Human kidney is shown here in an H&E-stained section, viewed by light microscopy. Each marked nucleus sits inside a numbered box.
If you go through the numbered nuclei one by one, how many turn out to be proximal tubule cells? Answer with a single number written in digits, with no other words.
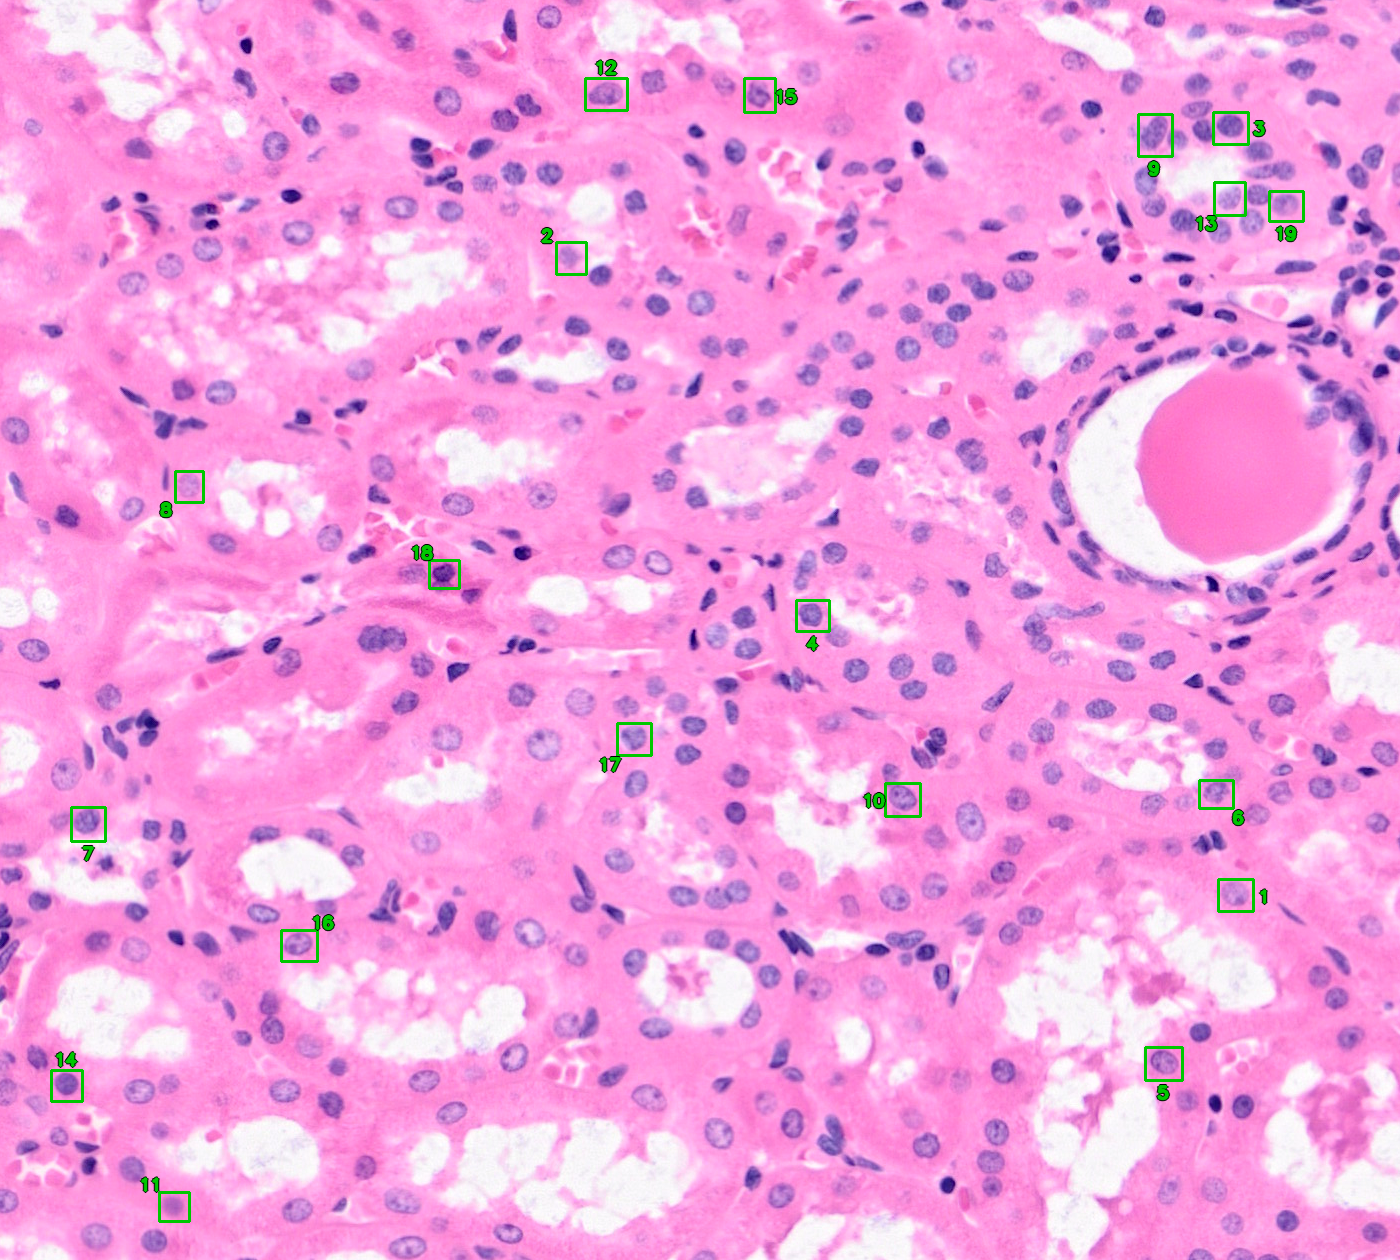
10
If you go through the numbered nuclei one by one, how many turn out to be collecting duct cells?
4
